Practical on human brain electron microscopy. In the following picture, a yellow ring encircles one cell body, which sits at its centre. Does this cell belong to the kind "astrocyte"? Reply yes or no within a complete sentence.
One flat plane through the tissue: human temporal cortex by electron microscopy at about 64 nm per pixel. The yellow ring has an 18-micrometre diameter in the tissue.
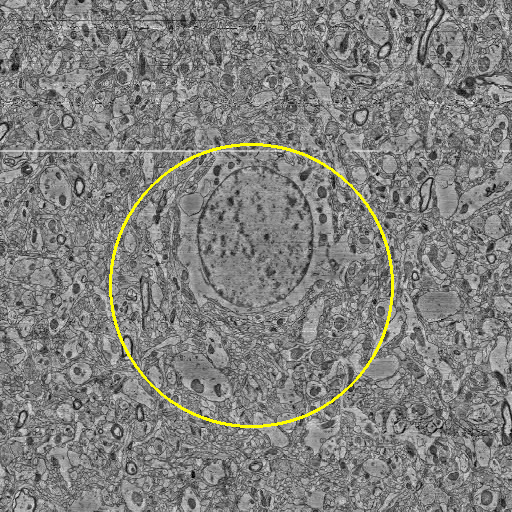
Yes, the one cell at the centre of the ring here is of that kind.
